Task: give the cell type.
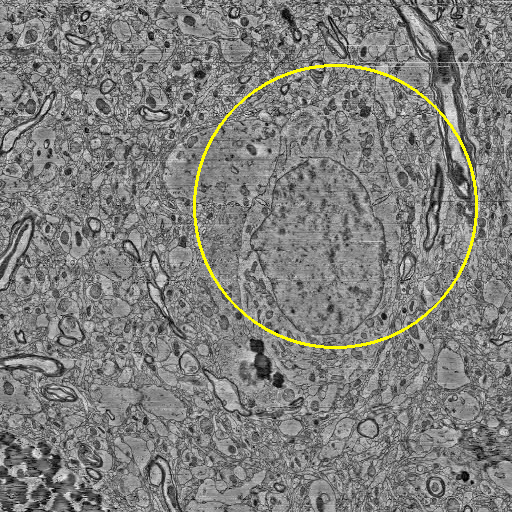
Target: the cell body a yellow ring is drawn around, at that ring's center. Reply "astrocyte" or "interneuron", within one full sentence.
In this picture, the cell whose body lies at the ring's center is an interneuron.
